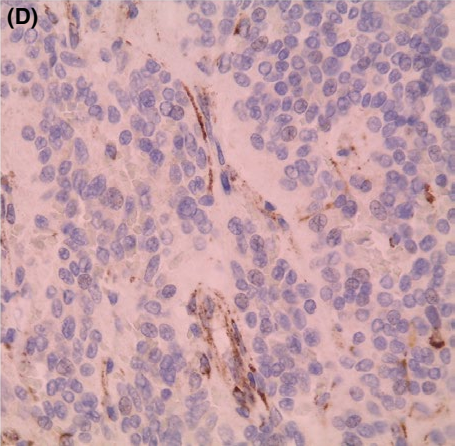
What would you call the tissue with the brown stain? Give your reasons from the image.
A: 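Brown granular stain lies in thin elongated cells along slit-like channels. The surrounding round-nucleated cells show only blue nuclei without brown stain. That points to this answer: endothelium.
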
